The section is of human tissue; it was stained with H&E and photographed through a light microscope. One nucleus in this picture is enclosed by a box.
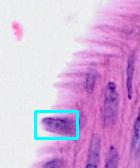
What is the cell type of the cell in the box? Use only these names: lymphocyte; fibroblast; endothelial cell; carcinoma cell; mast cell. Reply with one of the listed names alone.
endothelial cell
